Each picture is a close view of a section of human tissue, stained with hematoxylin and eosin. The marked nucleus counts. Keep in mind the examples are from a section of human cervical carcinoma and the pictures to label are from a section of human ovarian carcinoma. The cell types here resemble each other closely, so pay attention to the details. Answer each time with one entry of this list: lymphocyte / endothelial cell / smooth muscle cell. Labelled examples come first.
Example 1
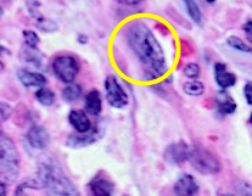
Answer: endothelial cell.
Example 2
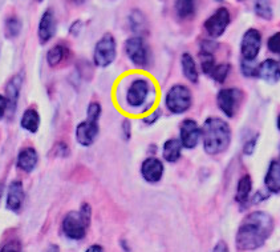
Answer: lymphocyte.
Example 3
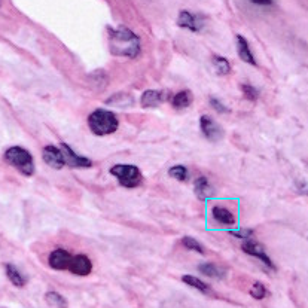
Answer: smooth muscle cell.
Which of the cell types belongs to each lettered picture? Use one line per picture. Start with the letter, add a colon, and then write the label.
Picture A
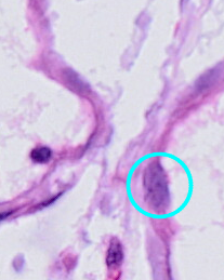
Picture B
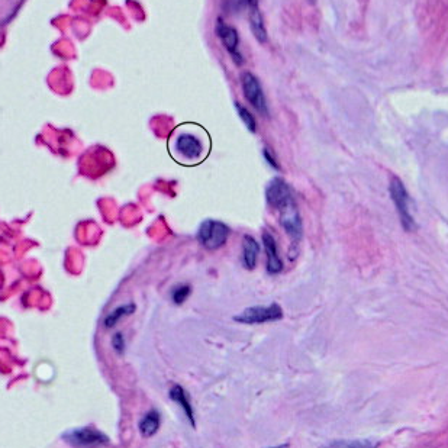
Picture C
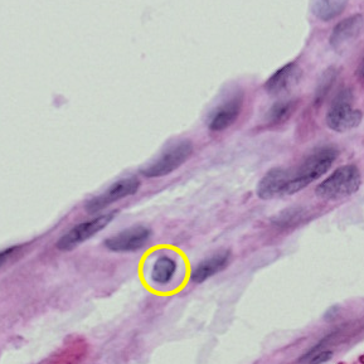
A: endothelial cell.
B: lymphocyte.
C: lymphocyte.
